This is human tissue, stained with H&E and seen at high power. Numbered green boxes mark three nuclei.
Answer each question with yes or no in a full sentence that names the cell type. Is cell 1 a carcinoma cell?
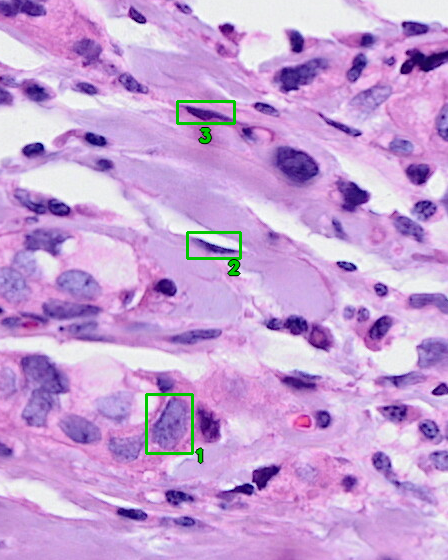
Yes, regarding cell number 1, it is a carcinoma cell.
